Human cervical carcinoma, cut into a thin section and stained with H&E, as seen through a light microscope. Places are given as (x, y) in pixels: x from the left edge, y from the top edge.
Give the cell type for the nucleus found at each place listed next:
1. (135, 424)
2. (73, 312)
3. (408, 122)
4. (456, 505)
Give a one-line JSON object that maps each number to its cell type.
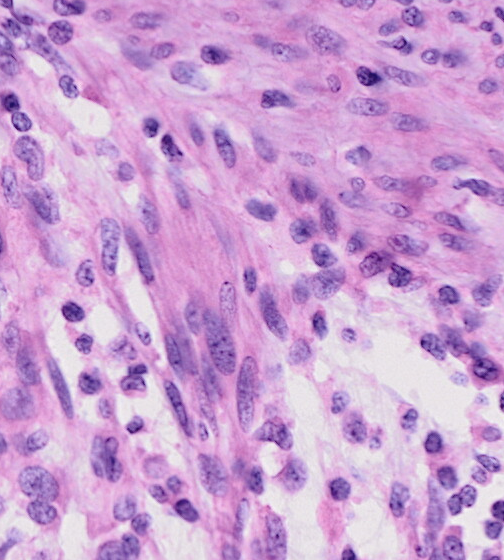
{"1": "lymphocyte", "2": "lymphocyte", "3": "smooth muscle cell", "4": "lymphocyte"}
